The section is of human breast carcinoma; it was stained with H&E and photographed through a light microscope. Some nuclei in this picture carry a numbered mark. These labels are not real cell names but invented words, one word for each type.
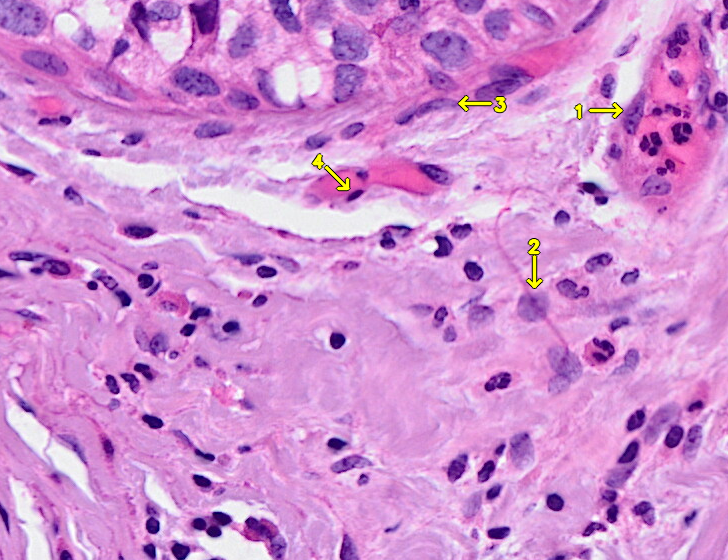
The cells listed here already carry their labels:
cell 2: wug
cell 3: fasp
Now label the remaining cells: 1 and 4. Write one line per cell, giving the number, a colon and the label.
1: fasp
4: fasp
